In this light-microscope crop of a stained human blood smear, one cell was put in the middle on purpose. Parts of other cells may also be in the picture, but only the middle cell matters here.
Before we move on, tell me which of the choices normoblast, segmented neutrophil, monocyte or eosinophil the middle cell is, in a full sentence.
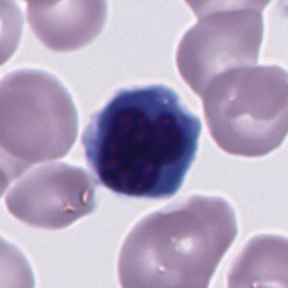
The identification for the central cell is a normoblast.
